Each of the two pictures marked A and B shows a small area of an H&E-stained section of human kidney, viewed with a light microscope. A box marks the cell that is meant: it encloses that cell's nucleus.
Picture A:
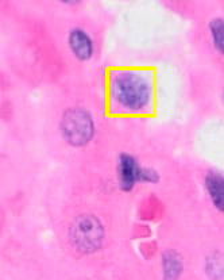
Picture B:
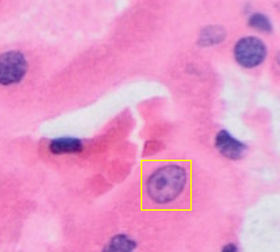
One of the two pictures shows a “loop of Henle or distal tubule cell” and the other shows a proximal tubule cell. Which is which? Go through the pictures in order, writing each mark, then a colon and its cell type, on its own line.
A: loop of Henle or distal tubule cell
B: proximal tubule cell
